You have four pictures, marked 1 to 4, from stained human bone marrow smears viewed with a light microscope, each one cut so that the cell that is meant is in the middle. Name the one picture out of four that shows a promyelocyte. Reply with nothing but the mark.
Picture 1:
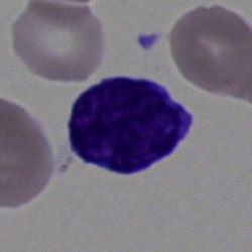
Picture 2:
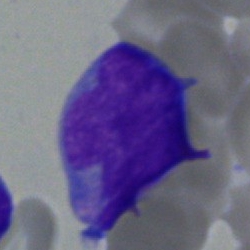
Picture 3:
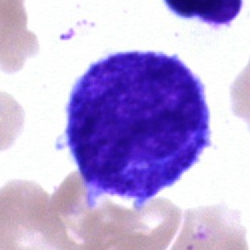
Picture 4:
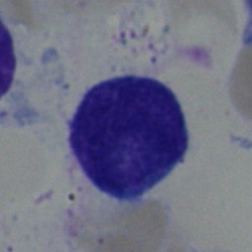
3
